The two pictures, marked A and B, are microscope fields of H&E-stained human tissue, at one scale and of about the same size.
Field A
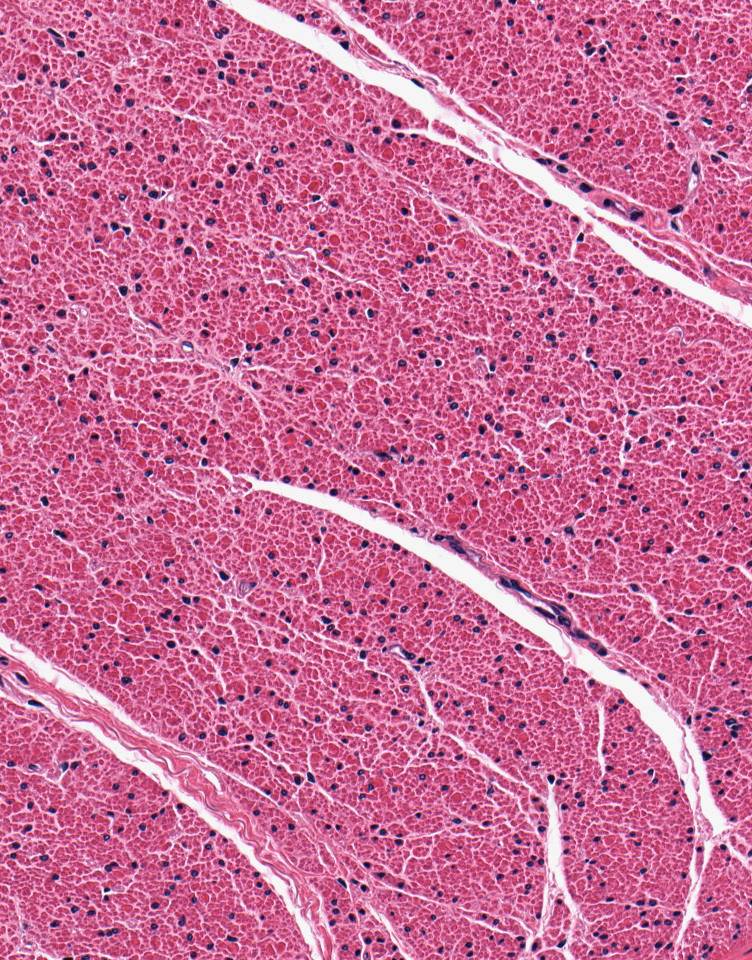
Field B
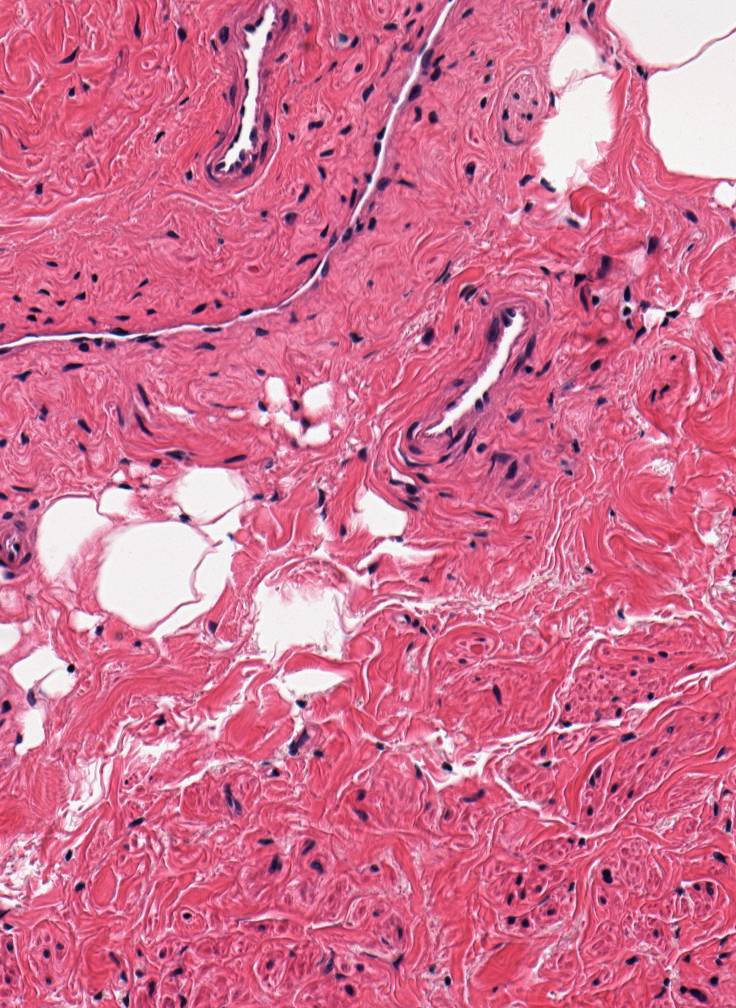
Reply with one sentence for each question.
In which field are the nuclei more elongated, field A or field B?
It is field B whose nuclei are the more elongated.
